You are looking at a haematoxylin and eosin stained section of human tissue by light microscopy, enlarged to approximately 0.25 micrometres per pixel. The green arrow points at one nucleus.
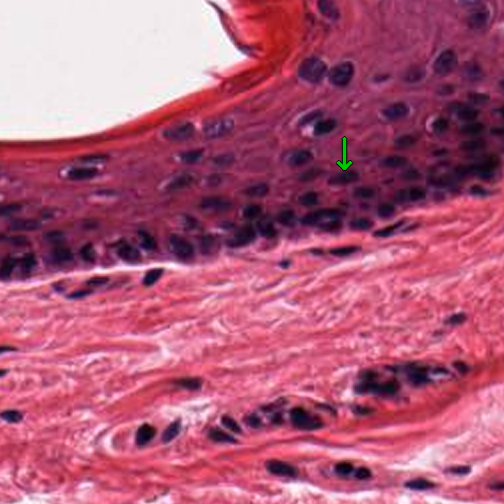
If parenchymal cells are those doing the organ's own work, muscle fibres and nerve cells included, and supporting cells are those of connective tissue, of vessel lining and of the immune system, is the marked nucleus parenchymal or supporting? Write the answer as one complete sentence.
Within a parenchymal cell, namely a keratinocyte, sits the marked nucleus.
